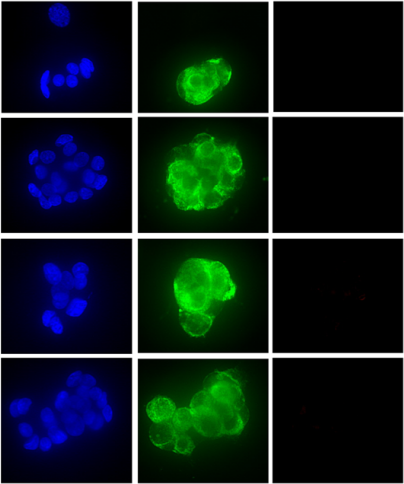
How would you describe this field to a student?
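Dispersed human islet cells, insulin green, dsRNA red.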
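Green signal fills the cytoplasm and outlines the cell borders. Red dots are essentially absent from these clusters.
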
